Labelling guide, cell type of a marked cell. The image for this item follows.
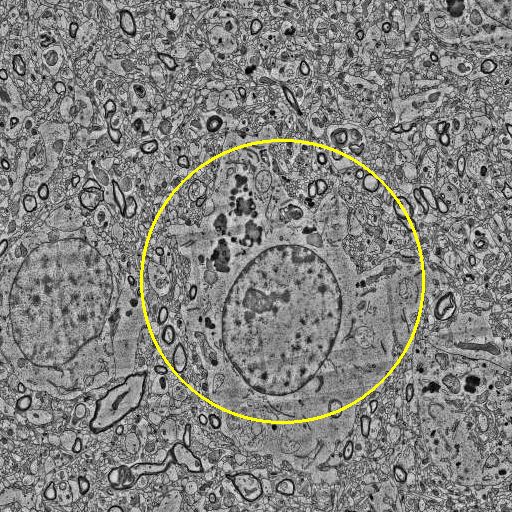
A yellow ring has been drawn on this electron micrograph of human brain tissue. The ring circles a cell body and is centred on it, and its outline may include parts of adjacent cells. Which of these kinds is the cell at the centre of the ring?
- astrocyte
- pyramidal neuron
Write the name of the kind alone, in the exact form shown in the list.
astrocyte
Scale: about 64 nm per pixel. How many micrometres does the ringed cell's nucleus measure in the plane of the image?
The nucleus has a long axis of about 10 micrometres and a short axis of about 8 micrometres in this plane.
